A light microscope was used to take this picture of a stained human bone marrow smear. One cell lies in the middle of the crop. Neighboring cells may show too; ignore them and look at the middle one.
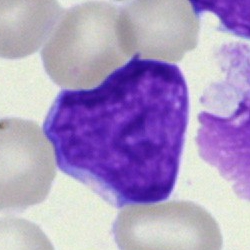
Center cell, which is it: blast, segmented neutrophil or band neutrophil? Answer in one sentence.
This particular crop is centered on a blast.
